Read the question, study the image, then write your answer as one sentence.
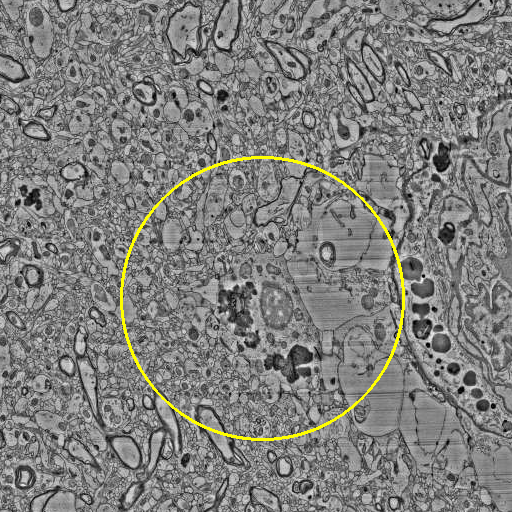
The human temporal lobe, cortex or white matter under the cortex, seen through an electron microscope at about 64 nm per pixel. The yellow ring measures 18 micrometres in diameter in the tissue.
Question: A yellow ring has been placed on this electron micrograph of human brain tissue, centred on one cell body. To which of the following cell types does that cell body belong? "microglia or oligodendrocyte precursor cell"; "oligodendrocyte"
That cell body belongs to an oligodendrocyte.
